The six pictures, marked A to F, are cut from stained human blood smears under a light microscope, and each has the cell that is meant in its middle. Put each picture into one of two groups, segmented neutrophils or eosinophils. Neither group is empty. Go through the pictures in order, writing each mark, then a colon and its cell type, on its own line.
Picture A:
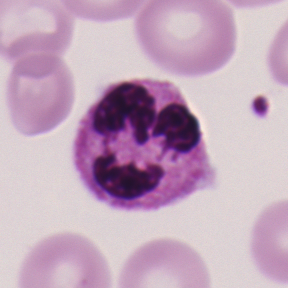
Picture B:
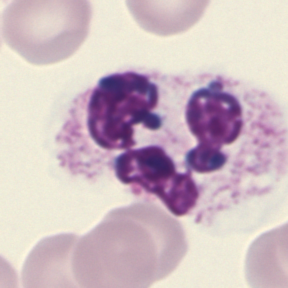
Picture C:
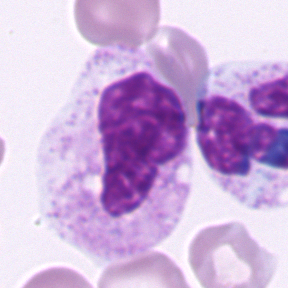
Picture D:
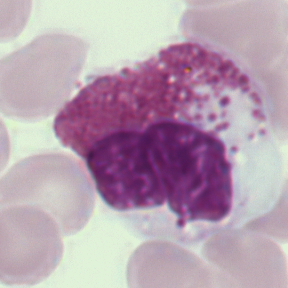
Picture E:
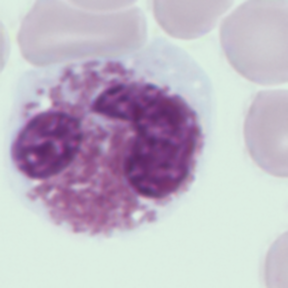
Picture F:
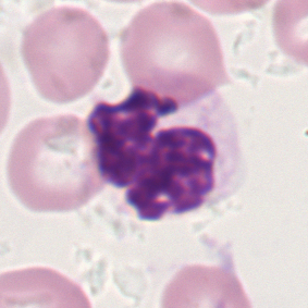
A: segmented neutrophil
B: segmented neutrophil
C: segmented neutrophil
D: eosinophil
E: eosinophil
F: segmented neutrophil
